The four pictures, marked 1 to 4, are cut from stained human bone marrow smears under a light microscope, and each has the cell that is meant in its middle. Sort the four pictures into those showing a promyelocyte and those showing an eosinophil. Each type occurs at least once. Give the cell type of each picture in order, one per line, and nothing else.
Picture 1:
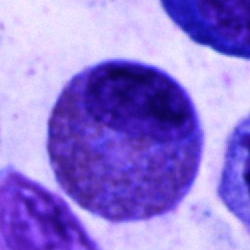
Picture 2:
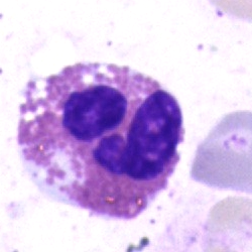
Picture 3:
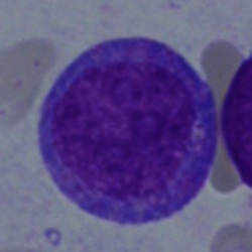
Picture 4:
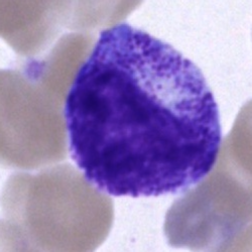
eosinophil
eosinophil
promyelocyte
promyelocyte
